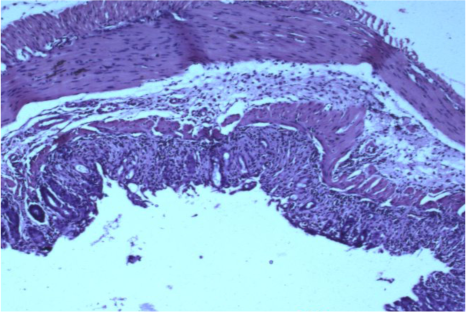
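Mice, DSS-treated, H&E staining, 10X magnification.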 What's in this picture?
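This colon section, stained pink and purple, shows a mucosa whose regular crypt architecture has largely broken down. The surface lining facing the lumen looks ragged and eroded, and the ordered rows of crypts seen in normal colon are hard to make out; instead the mucosa appears as a dense, disorganised layer crowded with purple nuclei, suggesting many infiltrating cells. Between the mucosa and the outer smooth-muscle layer lies a widened, paler submucosa that looks loose and swollen. The pink muscle wall runs along the top of the field, above the damaged lining.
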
